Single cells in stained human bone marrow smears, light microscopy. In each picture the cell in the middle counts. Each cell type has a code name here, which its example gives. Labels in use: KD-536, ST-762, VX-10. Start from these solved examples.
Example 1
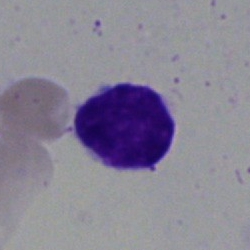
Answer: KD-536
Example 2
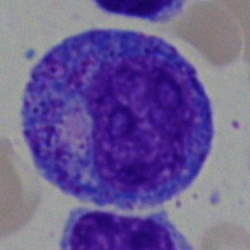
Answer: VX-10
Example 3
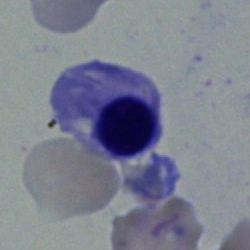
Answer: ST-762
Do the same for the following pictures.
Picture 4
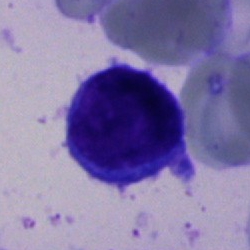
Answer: KD-536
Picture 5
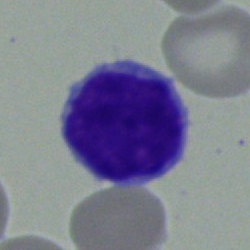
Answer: KD-536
